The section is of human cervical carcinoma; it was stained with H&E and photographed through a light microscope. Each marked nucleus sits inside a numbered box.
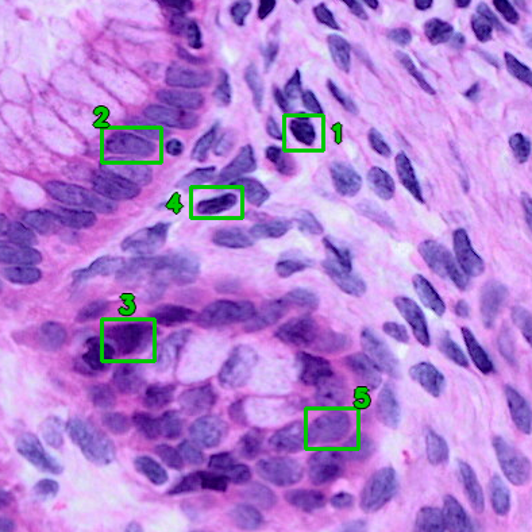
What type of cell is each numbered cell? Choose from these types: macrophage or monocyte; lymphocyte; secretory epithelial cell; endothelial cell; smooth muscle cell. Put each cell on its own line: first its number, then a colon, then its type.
1: lymphocyte
2: secretory epithelial cell
3: secretory epithelial cell
4: lymphocyte
5: secretory epithelial cell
